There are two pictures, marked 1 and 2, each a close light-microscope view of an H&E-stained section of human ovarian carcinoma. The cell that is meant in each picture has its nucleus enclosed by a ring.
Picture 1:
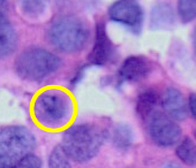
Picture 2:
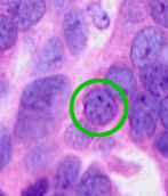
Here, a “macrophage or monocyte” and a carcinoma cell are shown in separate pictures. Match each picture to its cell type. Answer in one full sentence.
Picture 2 shows a carcinoma cell, while picture 1 shows a “macrophage or monocyte”.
